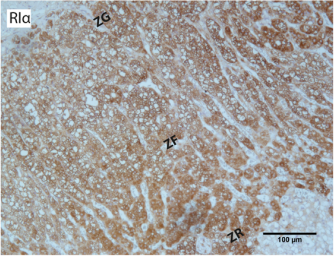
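Adrenal cortex with cords of cortical cells running obliquely across the field, separated by thin pale blue strands of stroma. The cells carry brown stain through their cytoplasm across the whole field.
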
